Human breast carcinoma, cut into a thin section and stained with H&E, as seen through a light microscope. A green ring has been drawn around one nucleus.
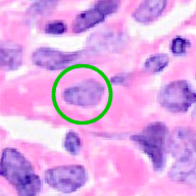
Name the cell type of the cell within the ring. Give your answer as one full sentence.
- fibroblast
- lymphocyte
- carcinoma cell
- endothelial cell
This is a carcinoma cell.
